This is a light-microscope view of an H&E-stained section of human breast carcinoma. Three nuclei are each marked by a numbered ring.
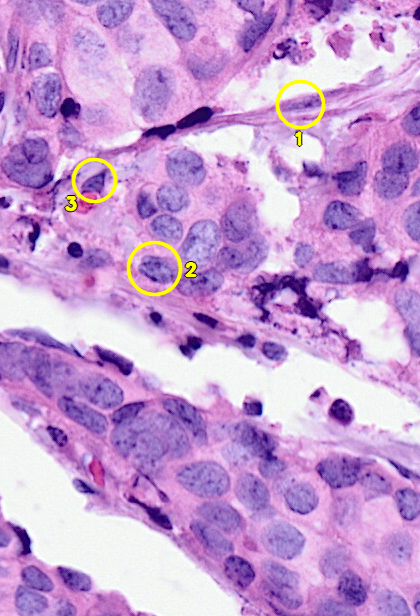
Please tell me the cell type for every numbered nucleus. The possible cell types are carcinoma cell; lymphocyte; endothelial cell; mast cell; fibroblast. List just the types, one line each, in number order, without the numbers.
fibroblast
carcinoma cell
endothelial cell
